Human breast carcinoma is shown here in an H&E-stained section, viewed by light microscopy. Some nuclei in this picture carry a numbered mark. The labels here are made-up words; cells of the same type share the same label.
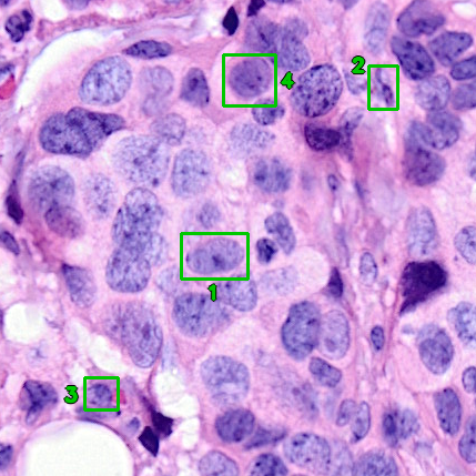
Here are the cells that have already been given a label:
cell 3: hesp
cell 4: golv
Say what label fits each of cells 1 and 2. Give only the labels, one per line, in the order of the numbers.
golv
golv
